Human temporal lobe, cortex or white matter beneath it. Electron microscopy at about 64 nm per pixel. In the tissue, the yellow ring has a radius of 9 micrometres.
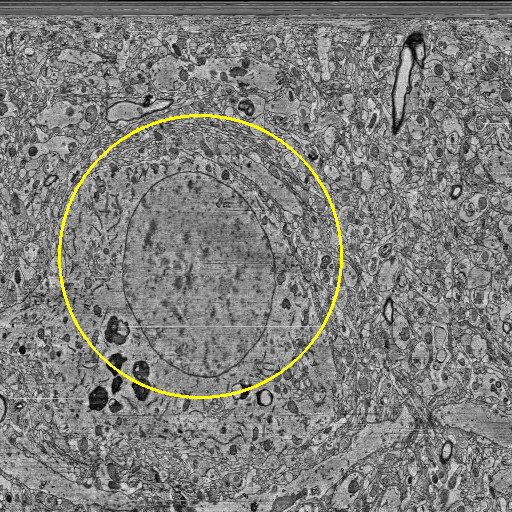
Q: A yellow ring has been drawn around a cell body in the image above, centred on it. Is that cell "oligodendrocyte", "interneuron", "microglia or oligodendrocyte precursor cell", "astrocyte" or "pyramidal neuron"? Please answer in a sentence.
The ring surrounds the cell body of a pyramidal neuron.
